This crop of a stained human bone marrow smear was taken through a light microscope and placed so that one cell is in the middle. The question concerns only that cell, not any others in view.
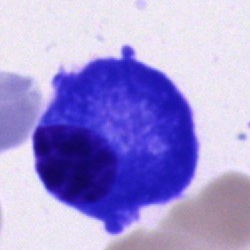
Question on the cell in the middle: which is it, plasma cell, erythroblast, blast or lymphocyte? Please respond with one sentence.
By type, the central cell of the crop is a plasma cell.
